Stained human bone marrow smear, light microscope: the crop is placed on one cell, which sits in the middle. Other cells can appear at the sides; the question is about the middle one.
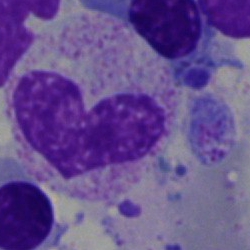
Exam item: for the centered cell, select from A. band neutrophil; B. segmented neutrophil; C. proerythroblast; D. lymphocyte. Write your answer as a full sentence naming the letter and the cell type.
At the centre of the crop lies a band neutrophil, which makes option A correct.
